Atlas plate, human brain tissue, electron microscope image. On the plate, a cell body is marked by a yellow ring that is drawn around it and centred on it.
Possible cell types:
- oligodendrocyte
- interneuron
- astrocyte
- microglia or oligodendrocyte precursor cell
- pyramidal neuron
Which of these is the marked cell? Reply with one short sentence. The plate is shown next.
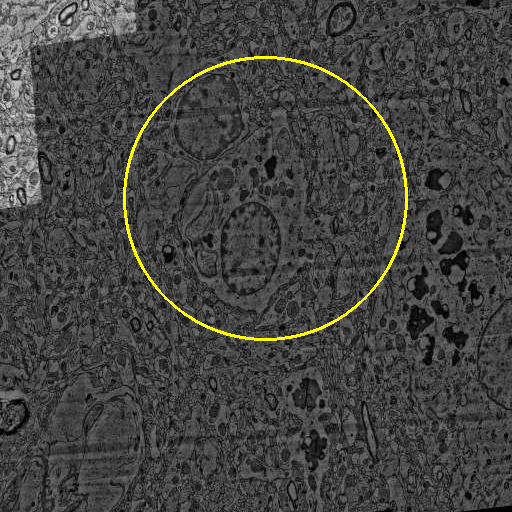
The marked cell is an astrocyte.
